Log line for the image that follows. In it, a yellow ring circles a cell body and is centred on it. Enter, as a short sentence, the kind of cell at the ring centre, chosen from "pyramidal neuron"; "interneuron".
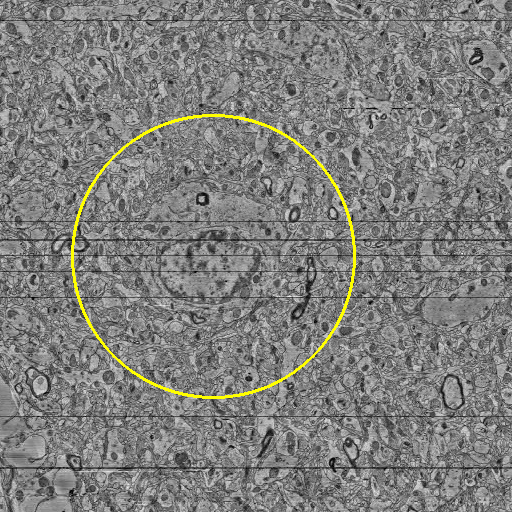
The ring centre is occupied by an interneuron.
